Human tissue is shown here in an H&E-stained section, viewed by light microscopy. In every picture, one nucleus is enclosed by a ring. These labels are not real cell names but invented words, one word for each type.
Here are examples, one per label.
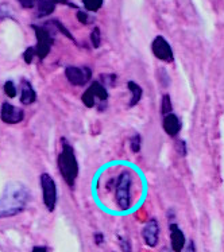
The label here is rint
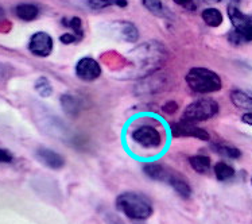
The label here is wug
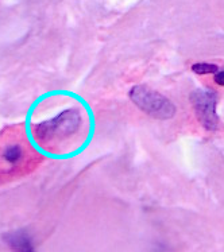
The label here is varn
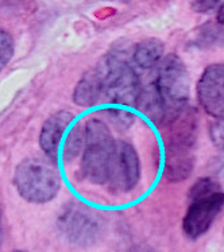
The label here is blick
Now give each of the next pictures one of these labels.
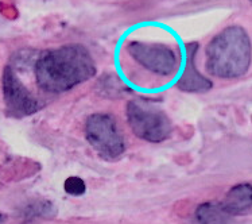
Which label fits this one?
blick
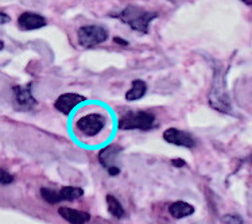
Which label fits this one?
wug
